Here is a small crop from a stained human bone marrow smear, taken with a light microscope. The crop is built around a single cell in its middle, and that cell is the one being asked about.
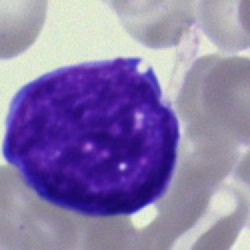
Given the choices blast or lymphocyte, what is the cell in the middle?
blast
